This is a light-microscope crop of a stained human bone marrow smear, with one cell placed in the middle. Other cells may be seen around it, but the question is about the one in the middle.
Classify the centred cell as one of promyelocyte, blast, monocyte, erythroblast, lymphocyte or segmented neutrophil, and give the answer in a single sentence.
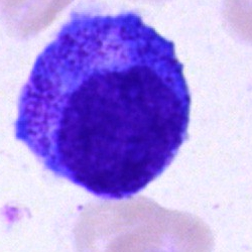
Looking at the middle of the crop, the cell there is a promyelocyte.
